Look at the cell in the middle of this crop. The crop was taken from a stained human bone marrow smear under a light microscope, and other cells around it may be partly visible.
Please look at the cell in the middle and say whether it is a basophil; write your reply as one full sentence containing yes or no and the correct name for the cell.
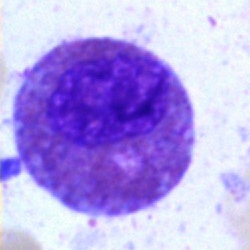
No, the cell in the middle is correctly named an eosinophil, not a basophil.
